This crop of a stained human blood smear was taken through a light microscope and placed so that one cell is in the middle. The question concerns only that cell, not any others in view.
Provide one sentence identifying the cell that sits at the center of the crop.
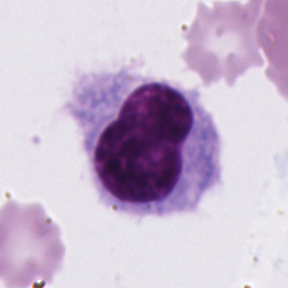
At the crop's centre, the cell is a hairy cell.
